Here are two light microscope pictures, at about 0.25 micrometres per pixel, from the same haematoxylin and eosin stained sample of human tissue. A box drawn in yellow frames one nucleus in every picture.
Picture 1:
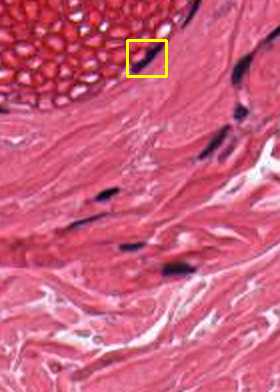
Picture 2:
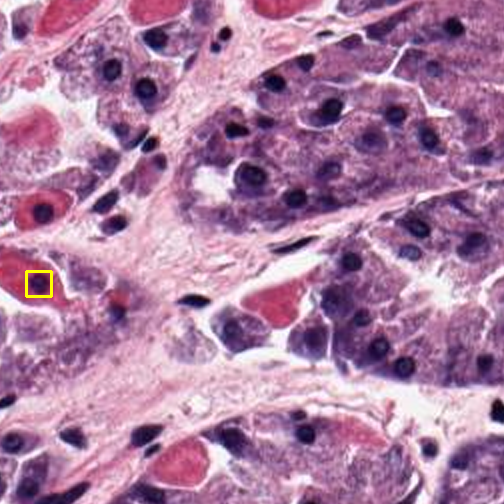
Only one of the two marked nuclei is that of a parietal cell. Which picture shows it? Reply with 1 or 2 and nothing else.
2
